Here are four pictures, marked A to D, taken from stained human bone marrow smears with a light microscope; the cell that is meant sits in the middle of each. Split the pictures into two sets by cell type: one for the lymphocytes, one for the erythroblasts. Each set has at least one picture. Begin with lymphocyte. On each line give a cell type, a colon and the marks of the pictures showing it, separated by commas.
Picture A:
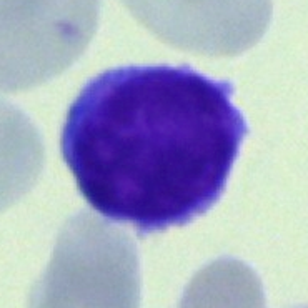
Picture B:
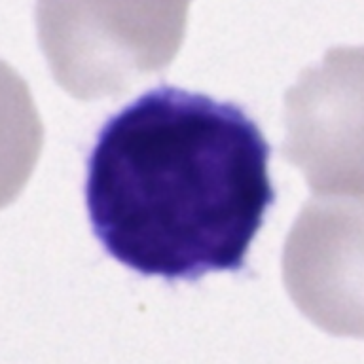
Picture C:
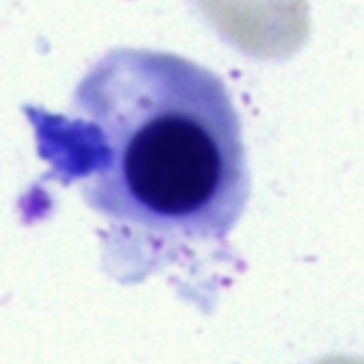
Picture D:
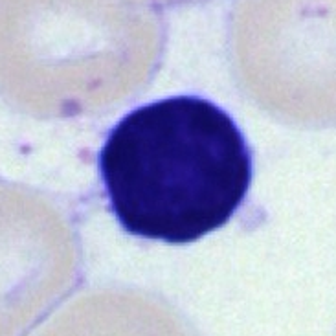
lymphocyte: A, B, D
erythroblast: C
